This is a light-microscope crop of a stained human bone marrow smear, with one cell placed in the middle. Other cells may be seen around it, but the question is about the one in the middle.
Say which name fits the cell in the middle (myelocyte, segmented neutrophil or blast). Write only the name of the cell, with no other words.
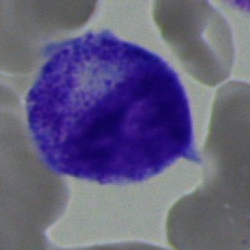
myelocyte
